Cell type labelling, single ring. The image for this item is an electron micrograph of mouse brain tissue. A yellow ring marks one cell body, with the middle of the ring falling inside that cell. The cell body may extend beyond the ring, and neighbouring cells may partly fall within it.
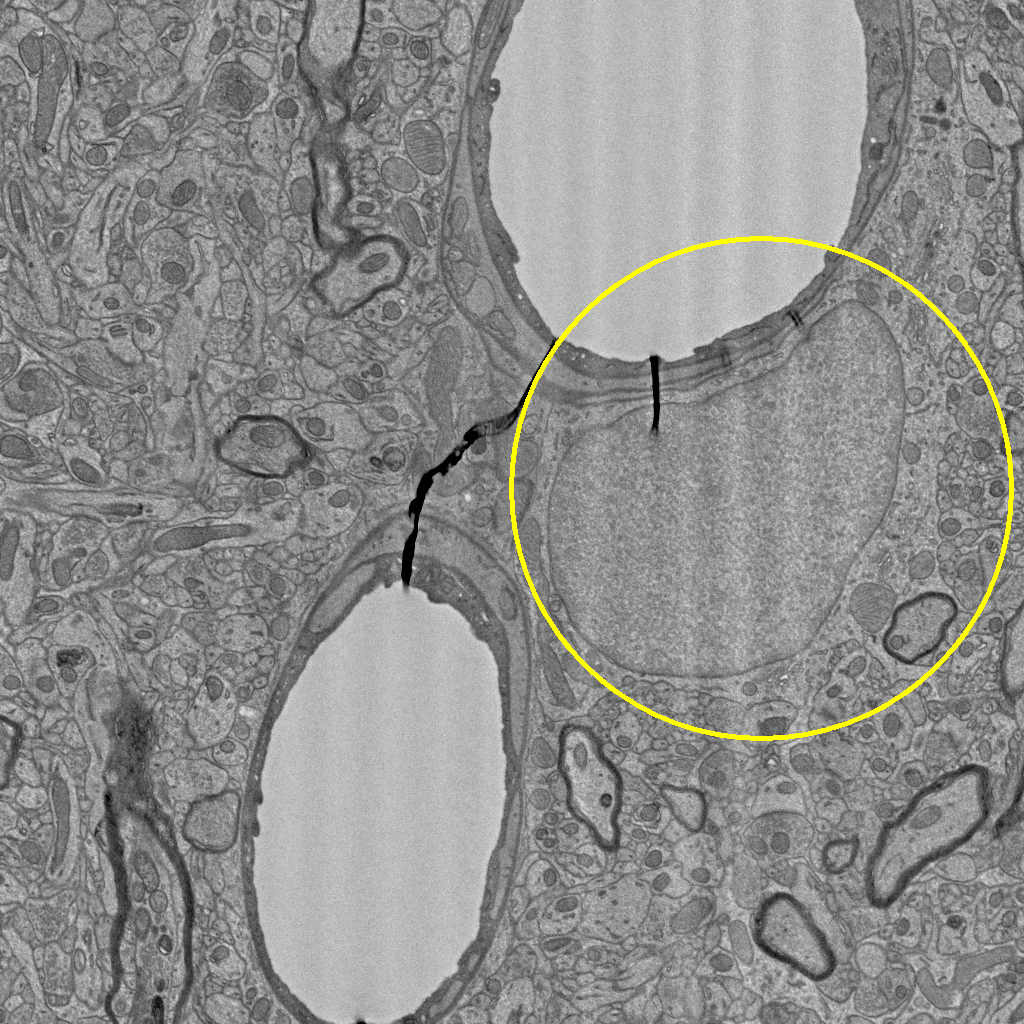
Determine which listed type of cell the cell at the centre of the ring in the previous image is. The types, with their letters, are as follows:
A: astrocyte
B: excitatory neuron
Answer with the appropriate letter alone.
A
